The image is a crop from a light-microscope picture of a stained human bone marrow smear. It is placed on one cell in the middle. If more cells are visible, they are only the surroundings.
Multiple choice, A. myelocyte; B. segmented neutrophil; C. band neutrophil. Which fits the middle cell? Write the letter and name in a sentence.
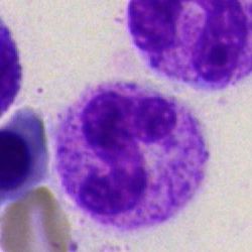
The central cell, a segmented neutrophil, is correctly identified by option B.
